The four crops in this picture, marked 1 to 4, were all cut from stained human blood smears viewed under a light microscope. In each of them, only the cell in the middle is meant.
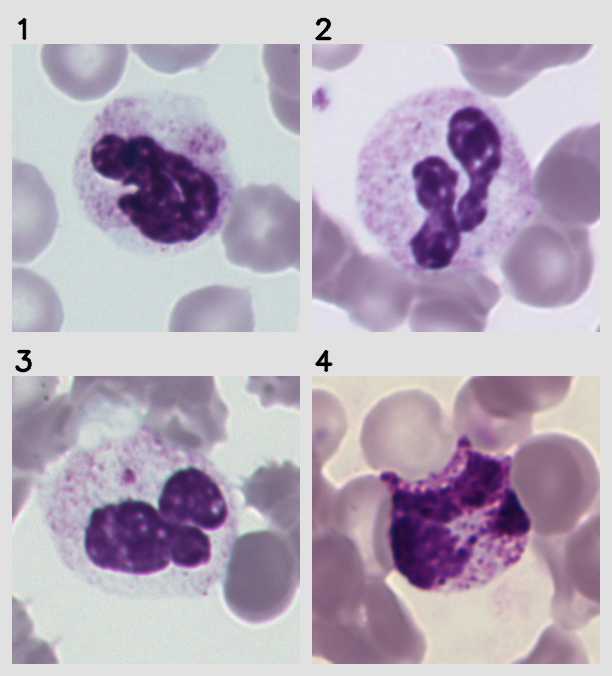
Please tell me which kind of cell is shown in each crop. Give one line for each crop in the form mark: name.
1: segmented neutrophil
2: segmented neutrophil
3: segmented neutrophil
4: basophil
